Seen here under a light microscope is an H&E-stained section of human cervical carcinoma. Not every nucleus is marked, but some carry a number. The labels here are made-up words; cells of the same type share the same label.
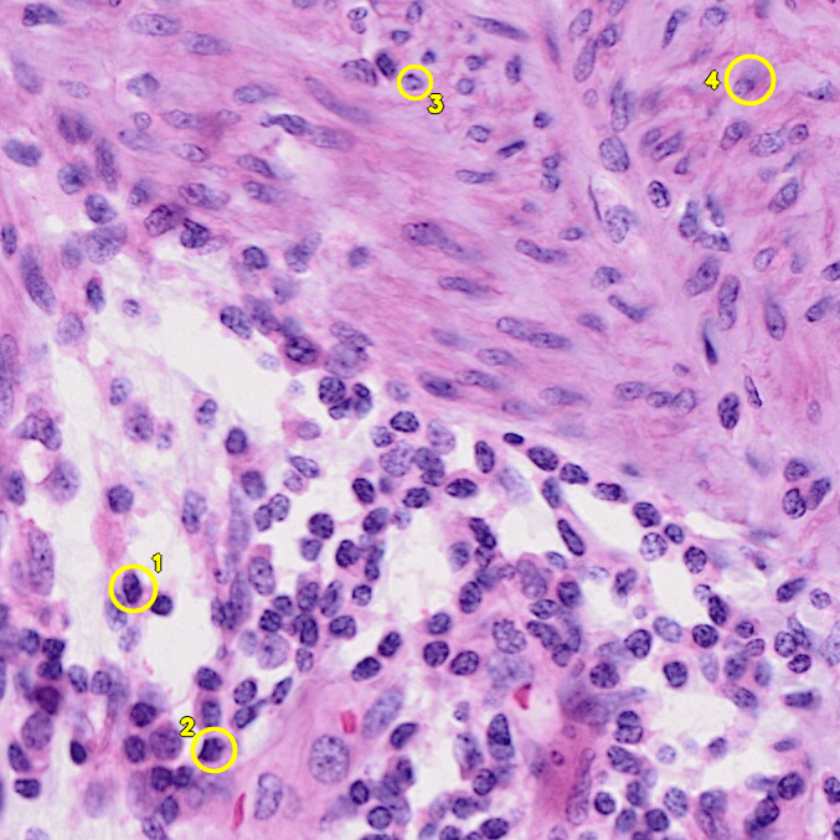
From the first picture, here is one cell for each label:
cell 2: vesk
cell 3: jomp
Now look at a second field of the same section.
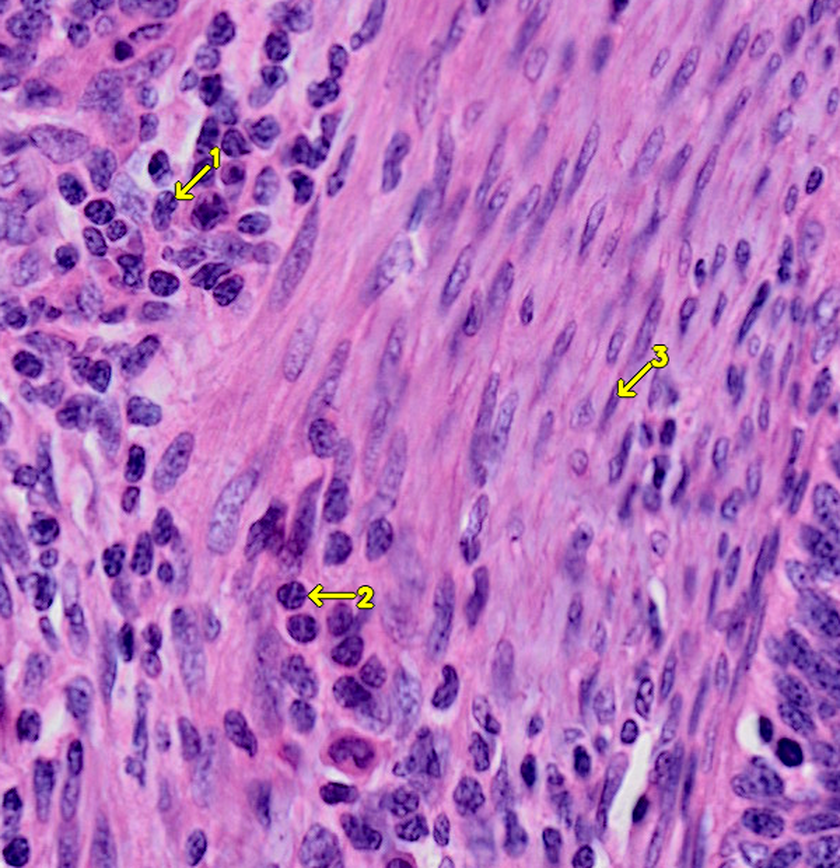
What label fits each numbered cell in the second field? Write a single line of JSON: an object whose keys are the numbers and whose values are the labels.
{"1": "vesk", "2": "vesk", "3": "jomp"}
